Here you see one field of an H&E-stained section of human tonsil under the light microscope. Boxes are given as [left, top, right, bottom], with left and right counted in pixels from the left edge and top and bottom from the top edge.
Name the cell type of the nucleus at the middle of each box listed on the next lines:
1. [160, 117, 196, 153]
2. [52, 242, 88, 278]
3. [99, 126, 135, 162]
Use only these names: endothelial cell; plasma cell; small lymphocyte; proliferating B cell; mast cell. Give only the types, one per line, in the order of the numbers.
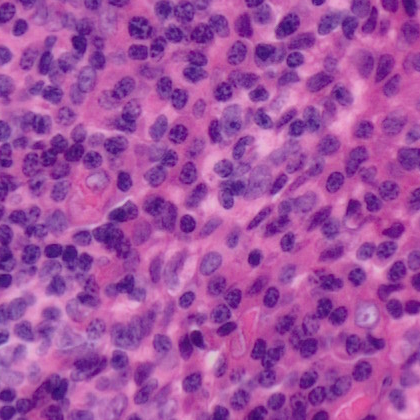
plasma cell
small lymphocyte
plasma cell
